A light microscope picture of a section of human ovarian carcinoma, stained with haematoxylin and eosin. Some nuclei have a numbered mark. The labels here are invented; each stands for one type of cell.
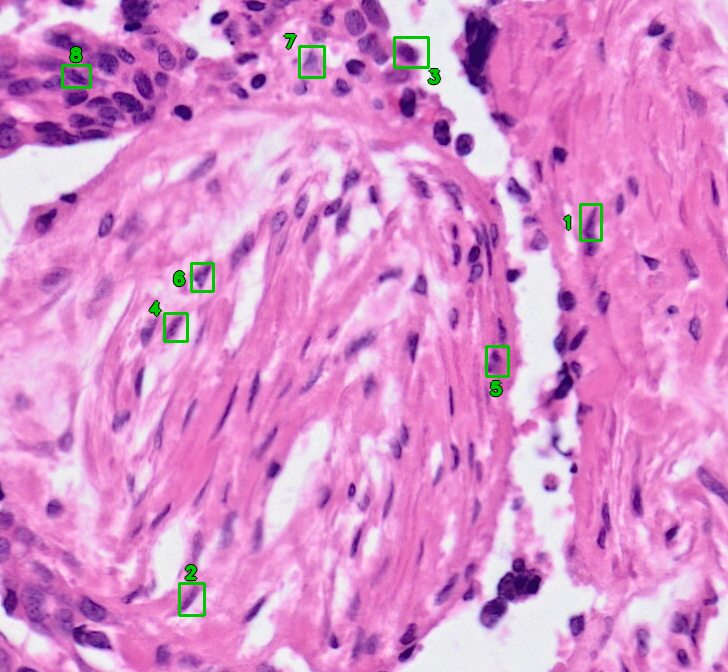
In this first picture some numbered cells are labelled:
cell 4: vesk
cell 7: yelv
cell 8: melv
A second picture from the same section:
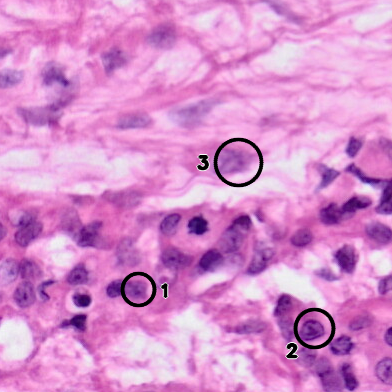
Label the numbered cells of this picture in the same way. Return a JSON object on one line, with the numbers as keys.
{"1": "yelv", "2": "yelv", "3": "vesk"}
